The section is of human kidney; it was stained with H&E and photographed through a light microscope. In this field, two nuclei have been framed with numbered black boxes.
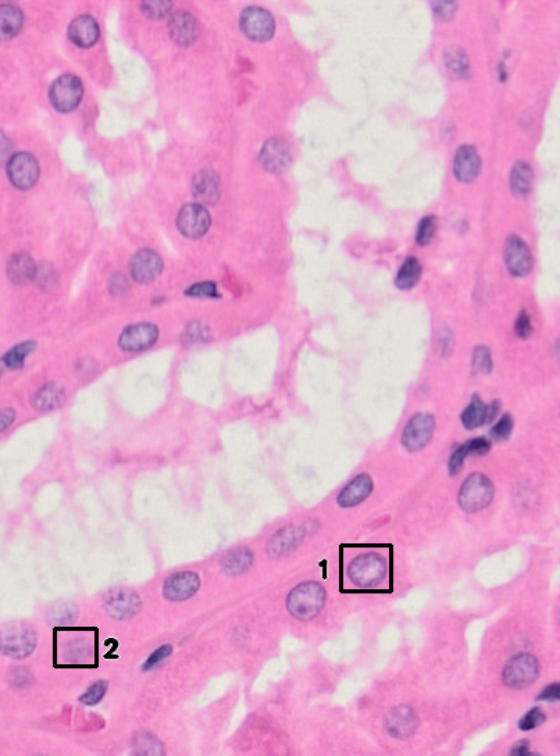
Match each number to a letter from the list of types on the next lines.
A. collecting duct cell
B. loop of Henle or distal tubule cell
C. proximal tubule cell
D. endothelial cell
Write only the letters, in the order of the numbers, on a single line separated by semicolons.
C; B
